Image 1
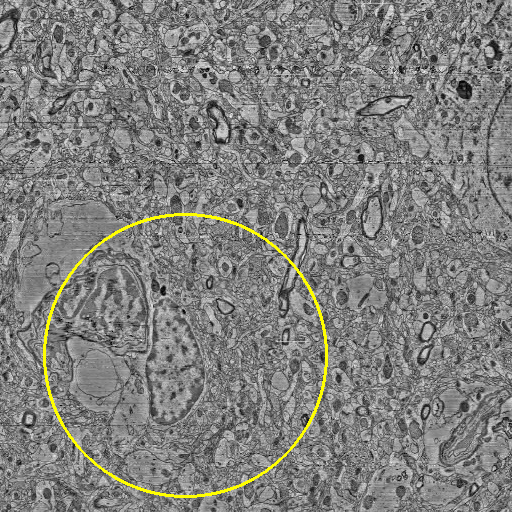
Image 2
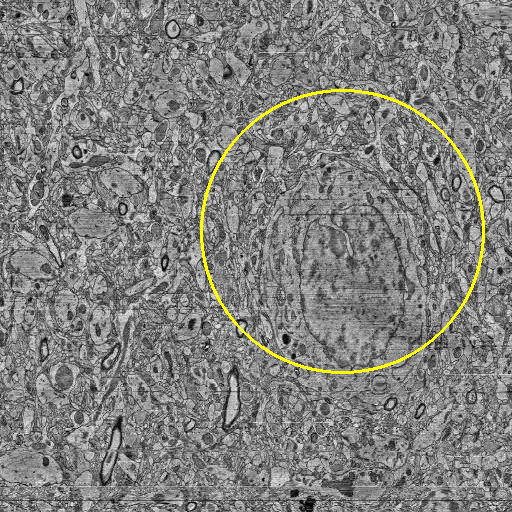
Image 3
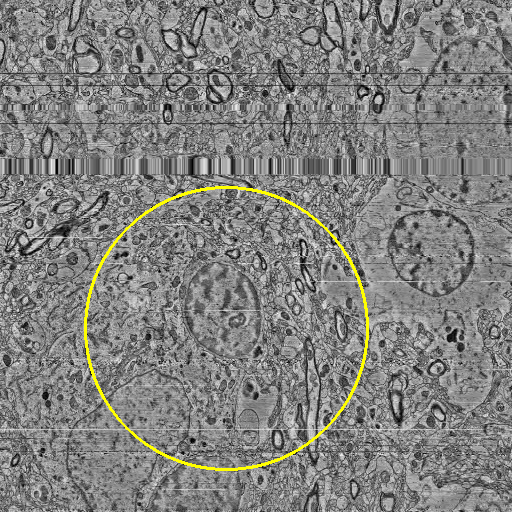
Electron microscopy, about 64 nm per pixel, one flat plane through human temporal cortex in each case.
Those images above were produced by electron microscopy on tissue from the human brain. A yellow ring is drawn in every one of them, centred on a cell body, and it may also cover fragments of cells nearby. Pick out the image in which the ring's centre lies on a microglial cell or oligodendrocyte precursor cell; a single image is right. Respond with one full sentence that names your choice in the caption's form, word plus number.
Image 1 is my choice: its ring is centred on the requested cell.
